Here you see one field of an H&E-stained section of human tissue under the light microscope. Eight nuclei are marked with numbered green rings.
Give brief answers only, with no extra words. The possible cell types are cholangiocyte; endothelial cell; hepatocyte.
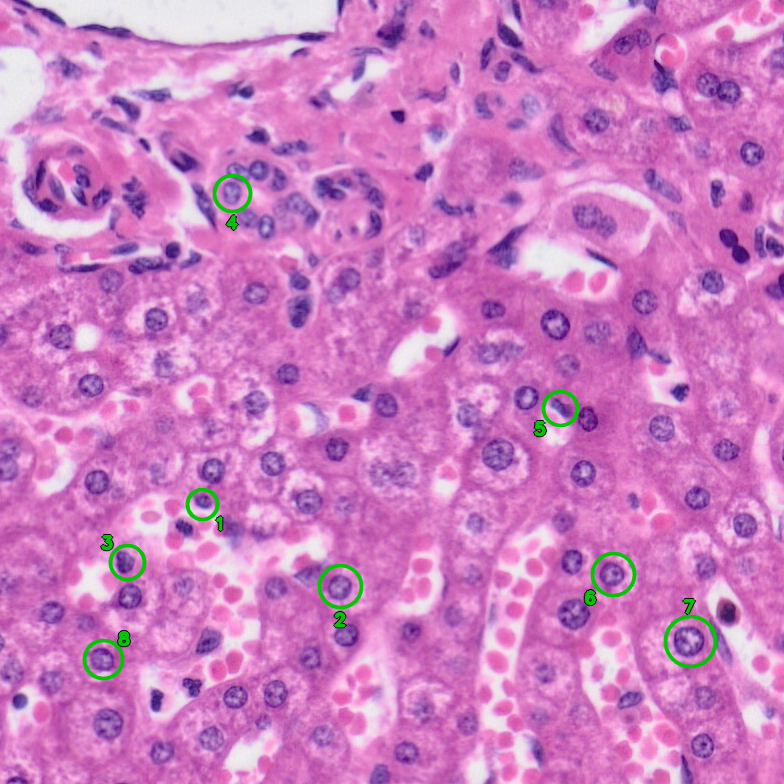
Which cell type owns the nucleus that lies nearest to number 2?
endothelial cell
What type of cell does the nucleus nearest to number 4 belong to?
cholangiocyte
